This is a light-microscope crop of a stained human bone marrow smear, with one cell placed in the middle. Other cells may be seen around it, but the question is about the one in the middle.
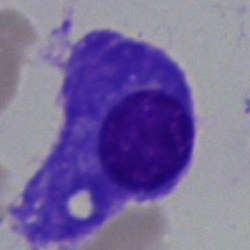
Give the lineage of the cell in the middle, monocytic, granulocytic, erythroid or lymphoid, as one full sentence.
The cell in the middle of the crop is considered part of the lymphoid lineage.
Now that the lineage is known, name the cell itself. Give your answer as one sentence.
The central element of this crop is a cell, namely a plasma cell.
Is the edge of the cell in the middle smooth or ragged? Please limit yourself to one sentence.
The margin of this cell is irregular, showing raggedness or projections instead of smoothness.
